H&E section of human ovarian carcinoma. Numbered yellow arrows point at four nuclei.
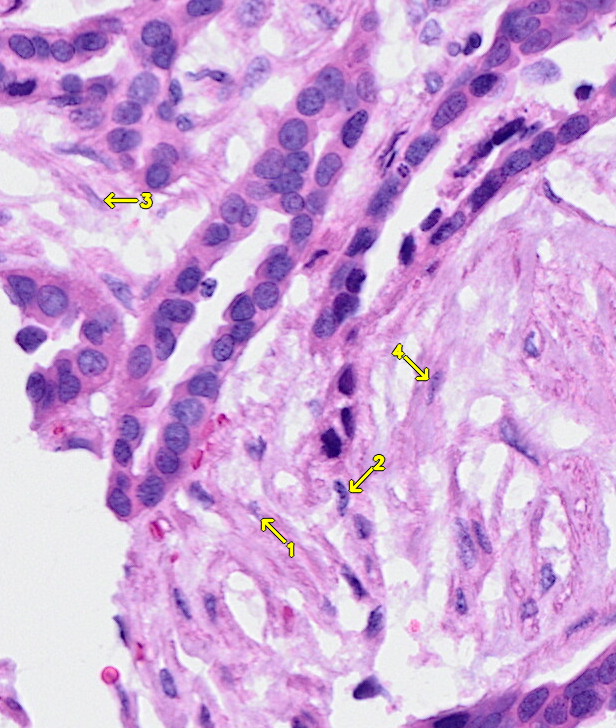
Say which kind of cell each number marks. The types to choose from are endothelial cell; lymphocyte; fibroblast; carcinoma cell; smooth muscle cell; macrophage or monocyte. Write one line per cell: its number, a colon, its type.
1: fibroblast
2: macrophage or monocyte
3: fibroblast
4: fibroblast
